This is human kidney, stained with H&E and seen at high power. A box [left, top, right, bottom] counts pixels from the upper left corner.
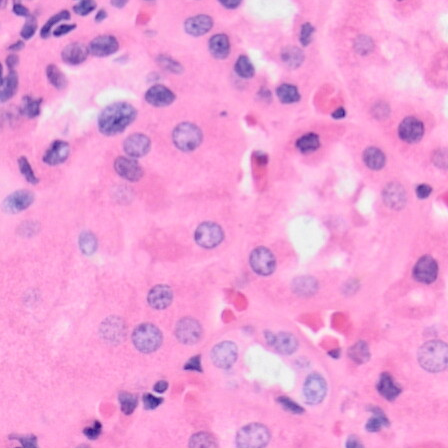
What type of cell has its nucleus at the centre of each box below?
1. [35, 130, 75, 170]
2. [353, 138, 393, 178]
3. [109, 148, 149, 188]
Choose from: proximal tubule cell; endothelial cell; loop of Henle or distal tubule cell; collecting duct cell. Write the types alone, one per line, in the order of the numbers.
loop of Henle or distal tubule cell
proximal tubule cell
proximal tubule cell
